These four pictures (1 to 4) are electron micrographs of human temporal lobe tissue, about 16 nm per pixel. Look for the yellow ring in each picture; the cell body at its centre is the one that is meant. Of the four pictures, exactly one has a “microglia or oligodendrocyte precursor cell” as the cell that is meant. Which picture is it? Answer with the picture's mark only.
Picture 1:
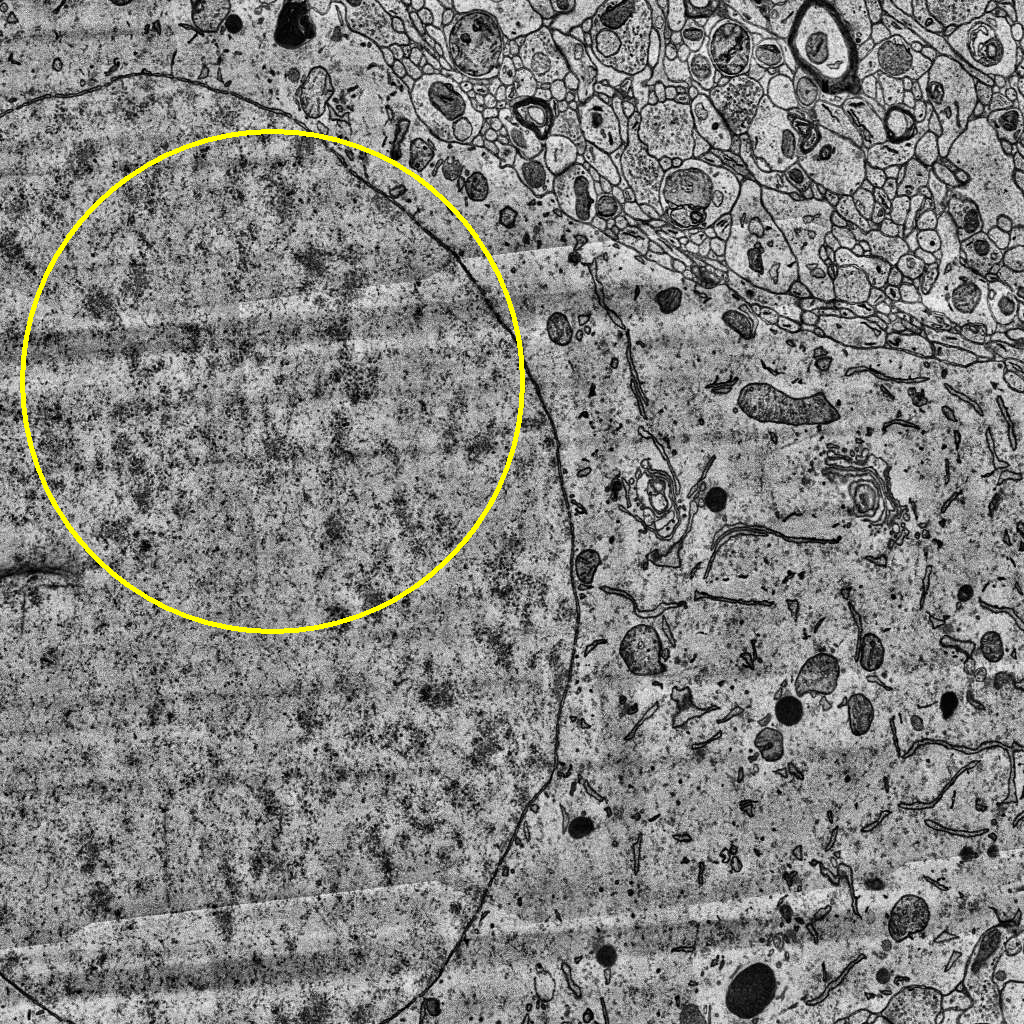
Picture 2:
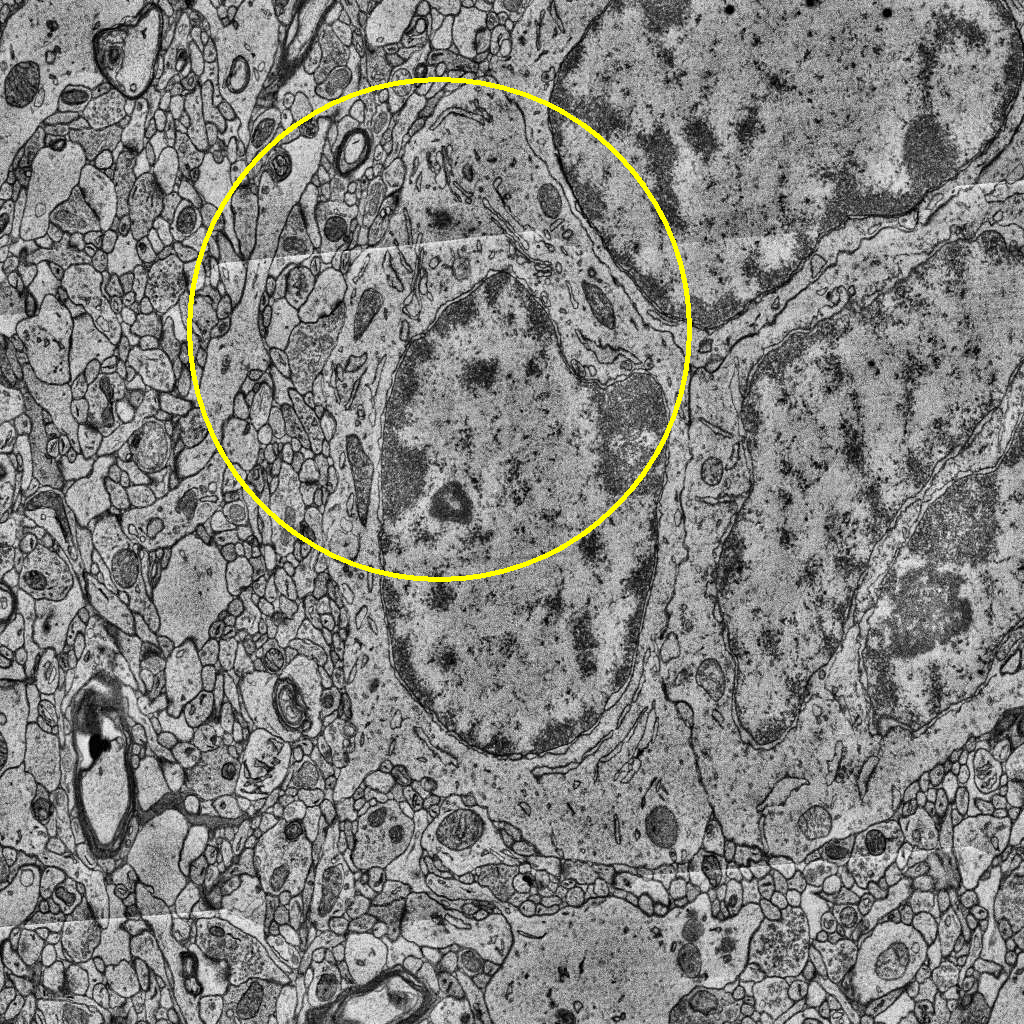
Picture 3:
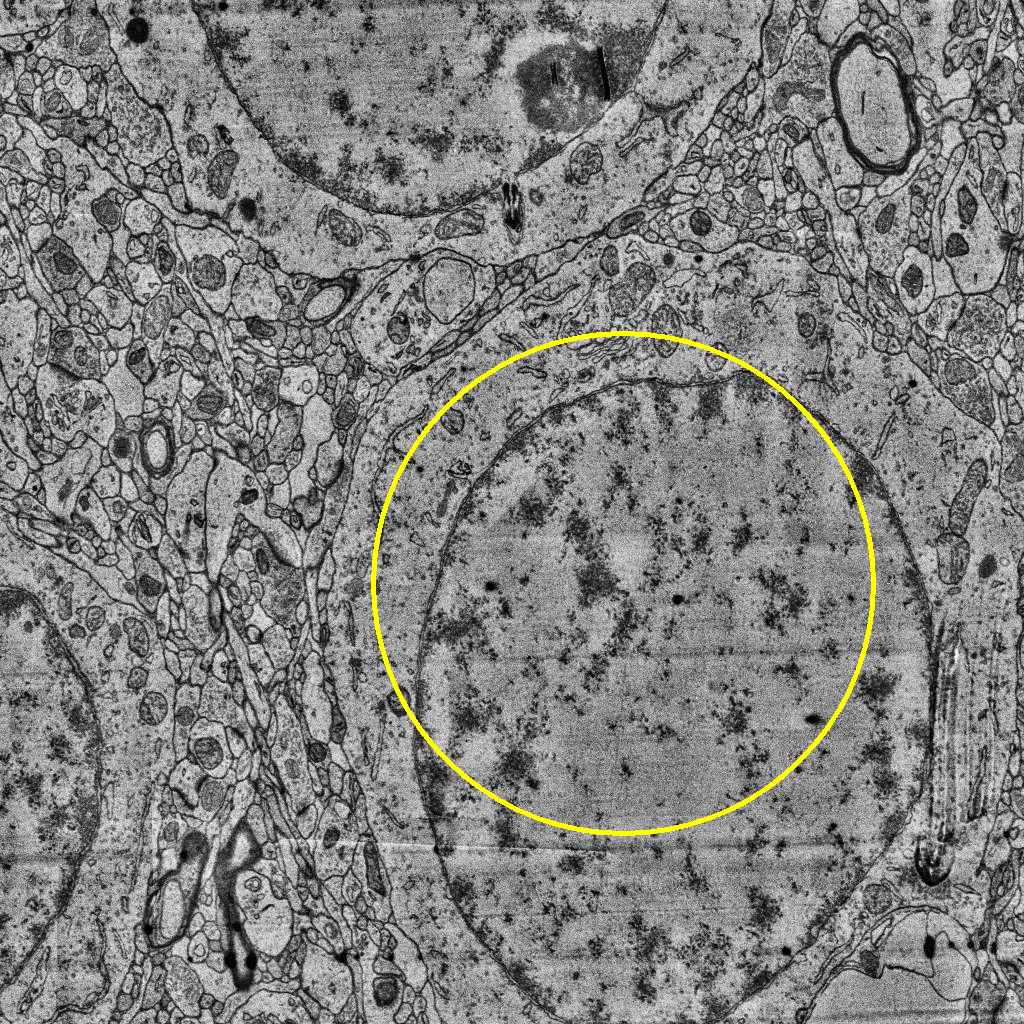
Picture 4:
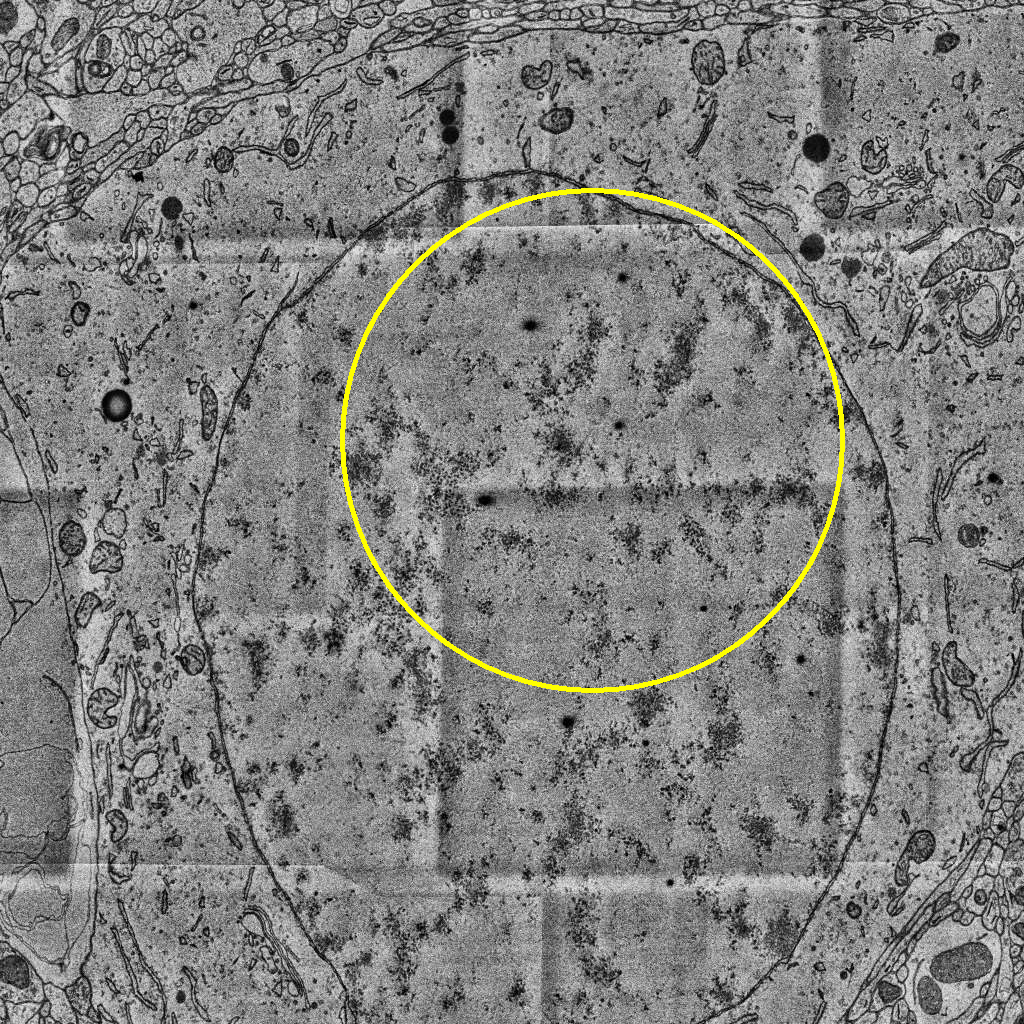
2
